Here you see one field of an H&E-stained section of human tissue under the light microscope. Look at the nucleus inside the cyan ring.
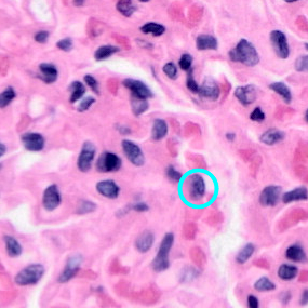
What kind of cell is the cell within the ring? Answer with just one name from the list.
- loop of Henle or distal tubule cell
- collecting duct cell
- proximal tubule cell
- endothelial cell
endothelial cell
